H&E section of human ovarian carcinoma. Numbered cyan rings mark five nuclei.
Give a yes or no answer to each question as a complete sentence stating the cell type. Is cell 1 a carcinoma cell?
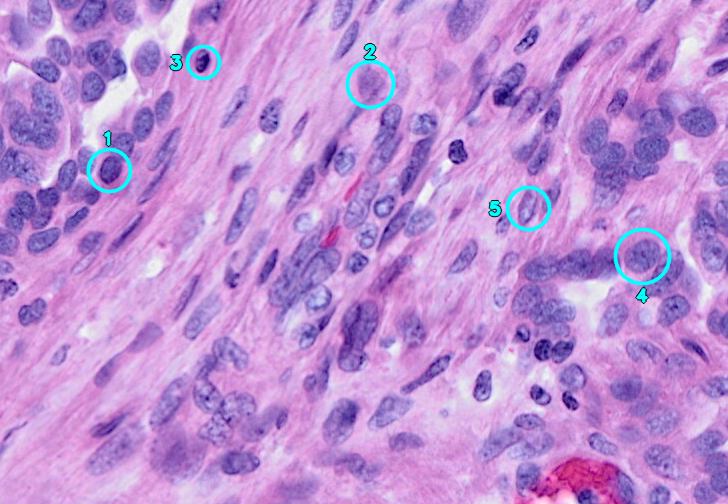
Yes, that is correct: the cell numbered 1 is a carcinoma cell.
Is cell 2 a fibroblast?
Yes, the cell at number 2 is a fibroblast.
